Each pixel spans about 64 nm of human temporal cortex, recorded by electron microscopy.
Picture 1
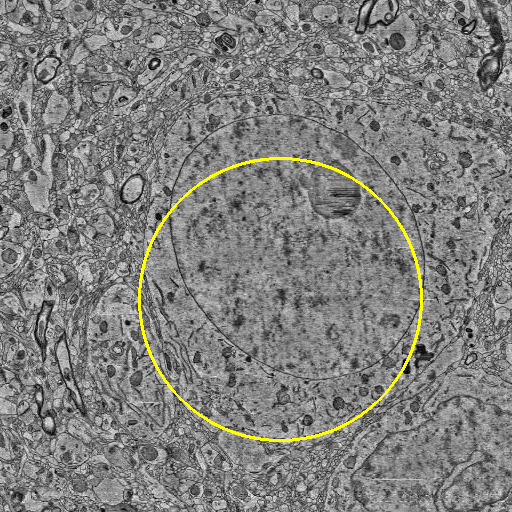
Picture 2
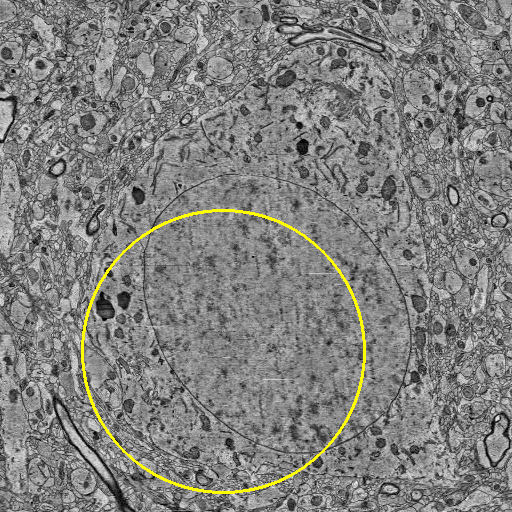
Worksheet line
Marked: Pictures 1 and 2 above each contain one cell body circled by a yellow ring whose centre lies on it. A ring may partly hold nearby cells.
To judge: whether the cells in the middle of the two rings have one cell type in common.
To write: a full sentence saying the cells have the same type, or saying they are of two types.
The cells in the middle of the rings in Picture 1 and Picture 2 have the same type.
